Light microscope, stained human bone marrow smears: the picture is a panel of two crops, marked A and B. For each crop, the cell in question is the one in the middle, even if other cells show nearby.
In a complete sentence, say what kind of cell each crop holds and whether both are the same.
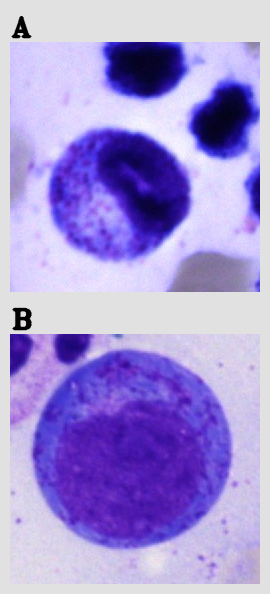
Yes, promyelocytes are at the centre in both crops.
